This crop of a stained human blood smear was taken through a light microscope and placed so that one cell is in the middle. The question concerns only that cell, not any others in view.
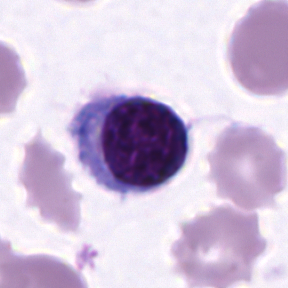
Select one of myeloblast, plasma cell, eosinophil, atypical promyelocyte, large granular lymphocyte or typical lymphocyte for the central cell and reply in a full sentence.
The cell occupying the middle of the crop is a plasma cell.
